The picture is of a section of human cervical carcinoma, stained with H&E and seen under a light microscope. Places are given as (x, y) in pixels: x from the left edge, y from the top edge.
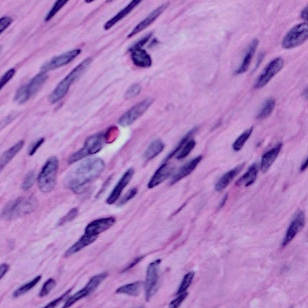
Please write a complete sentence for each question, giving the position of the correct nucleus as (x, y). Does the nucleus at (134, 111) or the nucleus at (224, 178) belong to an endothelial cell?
Of the two nuclei, it is the one at (134, 111) that lies within an endothelial cell.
